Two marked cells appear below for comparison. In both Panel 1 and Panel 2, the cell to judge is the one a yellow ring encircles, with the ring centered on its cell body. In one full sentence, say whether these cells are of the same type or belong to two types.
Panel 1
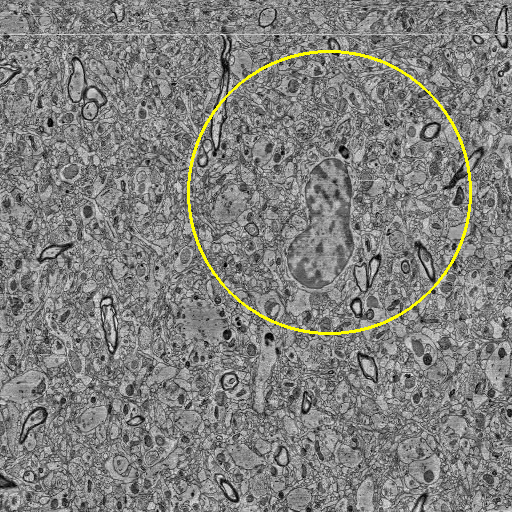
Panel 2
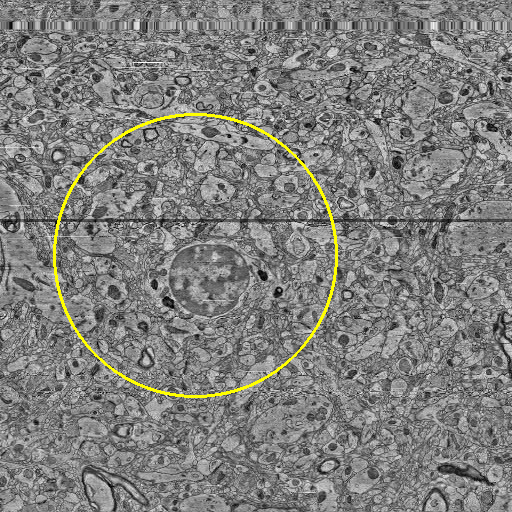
The cell centered in the Panel 1 ring and the one in Panel 2 are of the same type.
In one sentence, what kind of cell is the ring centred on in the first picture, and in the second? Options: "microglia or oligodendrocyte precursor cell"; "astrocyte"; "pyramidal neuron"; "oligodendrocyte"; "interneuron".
Each cell at the centre of a ring is a microglial cell or oligodendrocyte precursor cell.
